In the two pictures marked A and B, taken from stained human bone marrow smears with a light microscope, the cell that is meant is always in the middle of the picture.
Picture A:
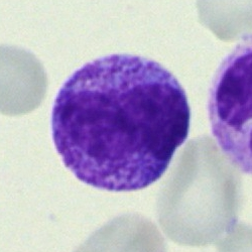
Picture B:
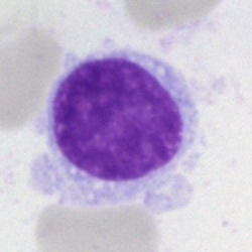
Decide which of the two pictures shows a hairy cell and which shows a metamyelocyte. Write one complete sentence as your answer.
It is picture A that shows a metamyelocyte, and picture B that shows a hairy cell.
